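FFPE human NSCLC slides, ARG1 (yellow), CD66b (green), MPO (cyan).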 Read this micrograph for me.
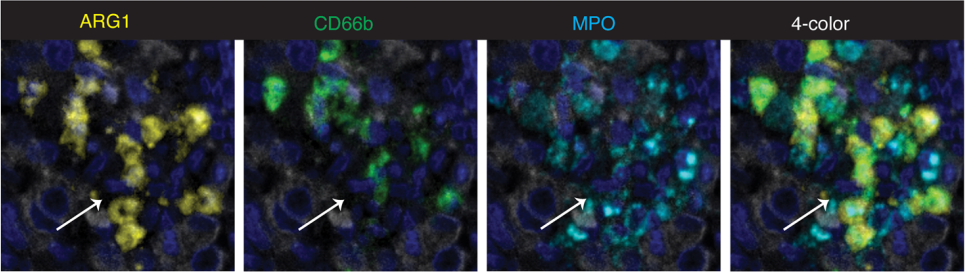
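Tumour tissue densely infiltrated by small round cells, shown as single-channel and merged views. Many cells have bright yellow cytoplasm around blue nuclei. Some of these are also green, and others are not. The cyan channel shows granular, punctate deposits in a subset of the cells, with some bright cyan dots. In the merged view, yellow, green and cyan cells are intermixed among blue nuclei. Larger cells with faint grey outlines lie at the edges of the field.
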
